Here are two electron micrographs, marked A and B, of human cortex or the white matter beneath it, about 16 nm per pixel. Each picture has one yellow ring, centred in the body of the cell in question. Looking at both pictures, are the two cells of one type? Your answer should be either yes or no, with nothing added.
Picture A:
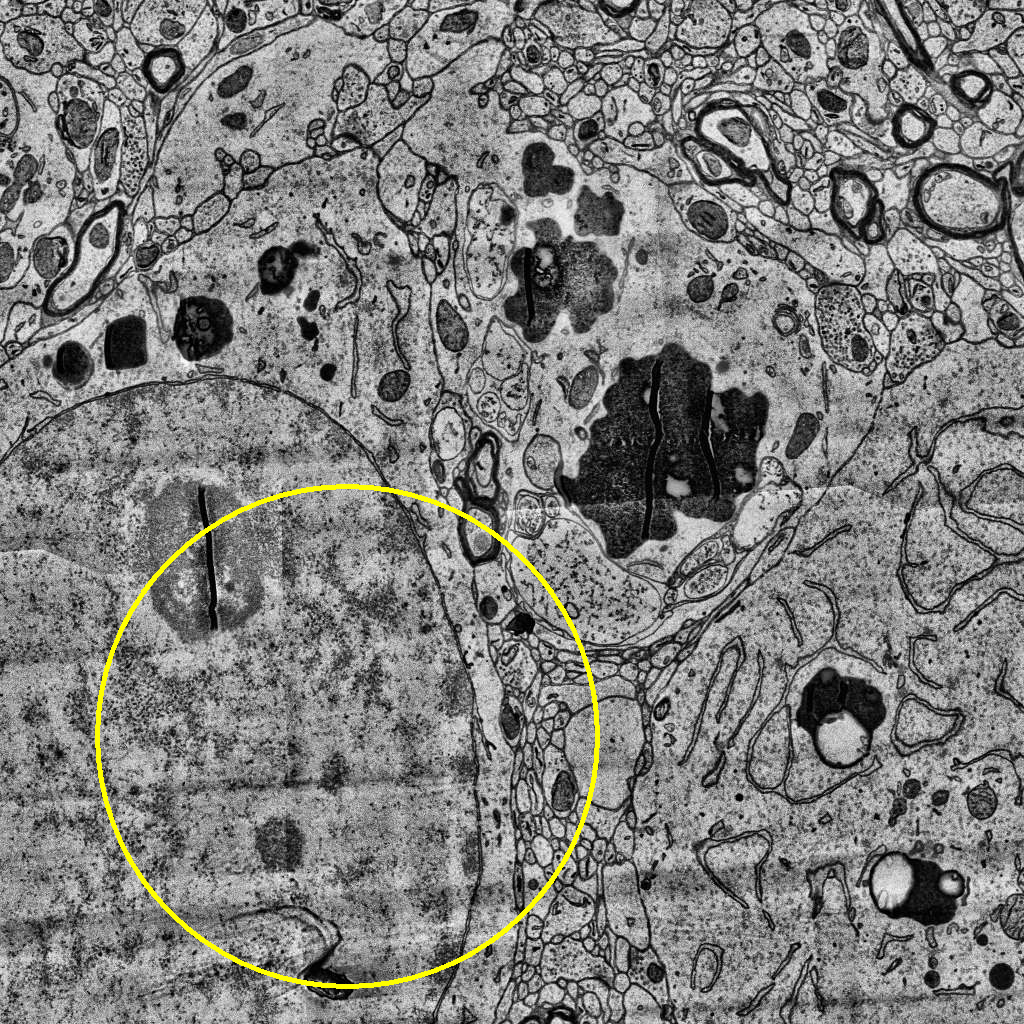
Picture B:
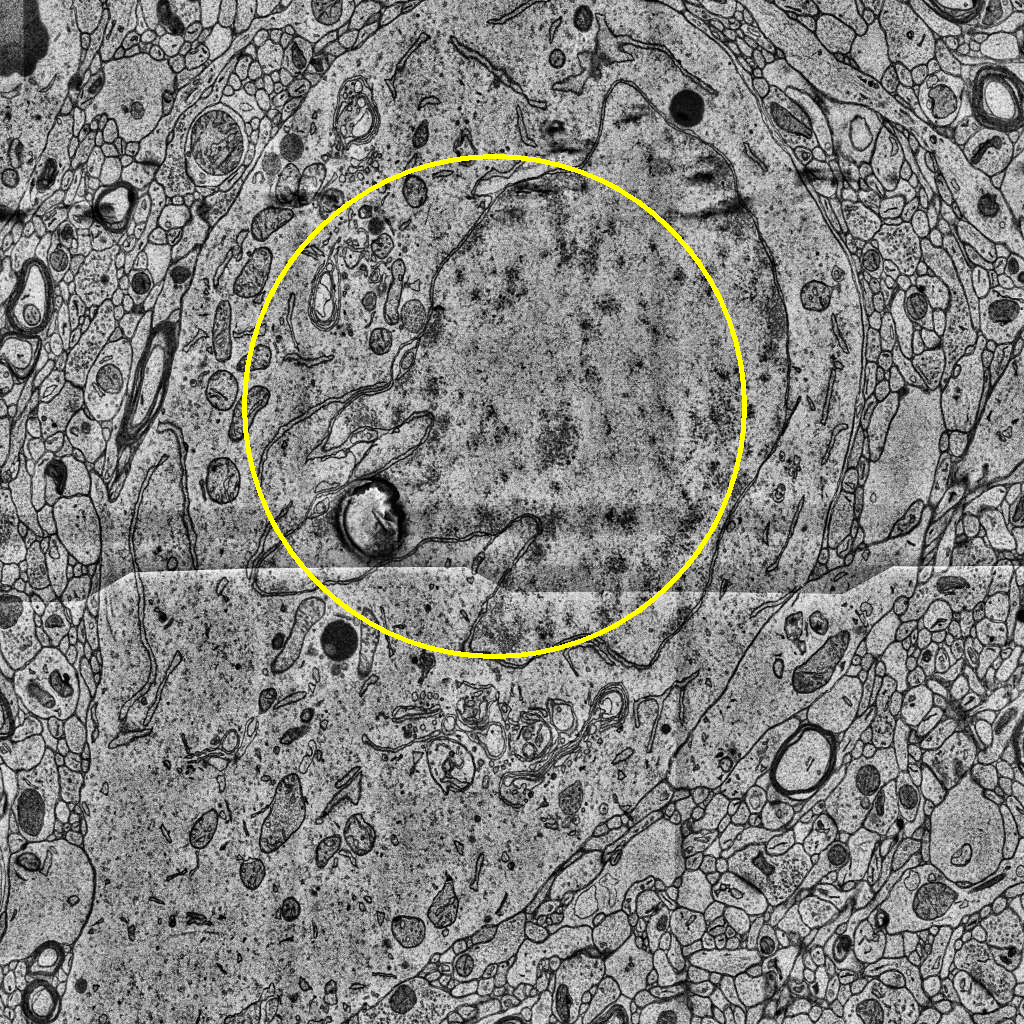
no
